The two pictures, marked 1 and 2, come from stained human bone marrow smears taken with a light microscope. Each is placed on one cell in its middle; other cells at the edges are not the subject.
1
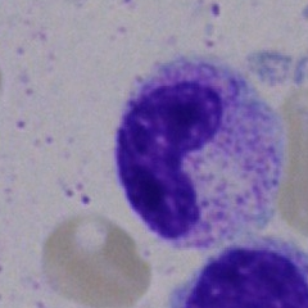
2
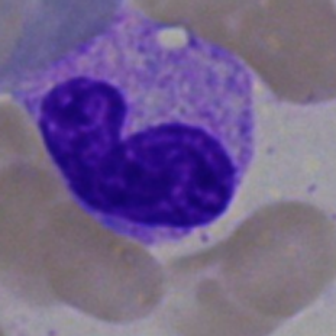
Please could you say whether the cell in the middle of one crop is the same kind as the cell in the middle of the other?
yes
